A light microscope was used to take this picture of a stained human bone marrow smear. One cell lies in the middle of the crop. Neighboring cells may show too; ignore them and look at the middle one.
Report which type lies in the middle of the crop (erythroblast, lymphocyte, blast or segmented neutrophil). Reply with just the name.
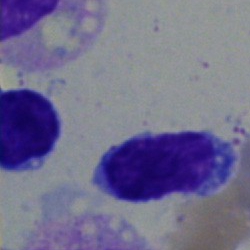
lymphocyte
